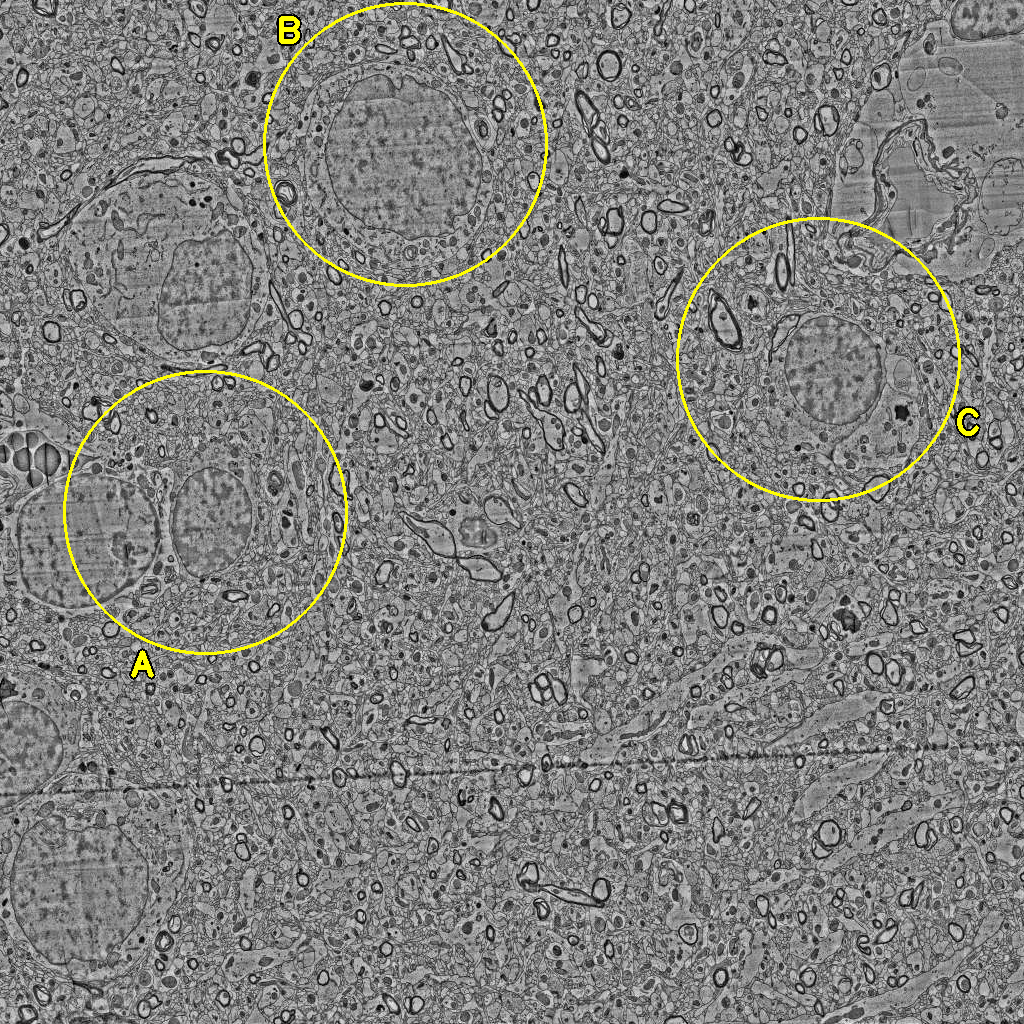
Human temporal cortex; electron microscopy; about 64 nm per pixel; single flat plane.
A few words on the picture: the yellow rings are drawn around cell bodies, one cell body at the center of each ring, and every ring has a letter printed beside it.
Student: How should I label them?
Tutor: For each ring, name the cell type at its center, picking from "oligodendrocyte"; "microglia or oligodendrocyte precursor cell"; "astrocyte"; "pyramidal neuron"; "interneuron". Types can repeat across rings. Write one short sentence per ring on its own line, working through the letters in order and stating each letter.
In ring A, the central cell is an oligodendrocyte.
In ring B, the central cell is a pyramidal neuron.
In ring C, the central cell is an oligodendrocyte.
